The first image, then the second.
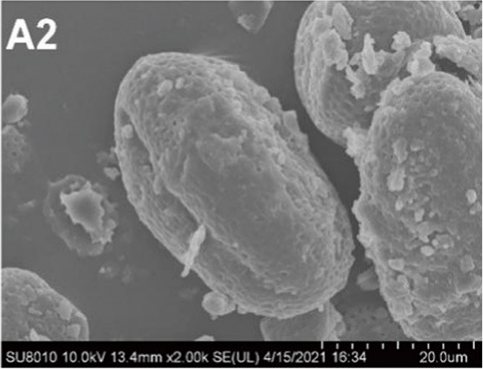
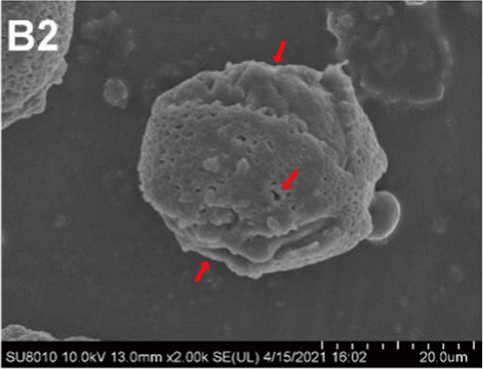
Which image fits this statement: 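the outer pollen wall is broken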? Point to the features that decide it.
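Second image: the grain's pitted wall is torn at the edges with a hole in it. First image: the grains are whole, smooth-outlined ellipsoids with a continuous pitted wall.
The second image.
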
